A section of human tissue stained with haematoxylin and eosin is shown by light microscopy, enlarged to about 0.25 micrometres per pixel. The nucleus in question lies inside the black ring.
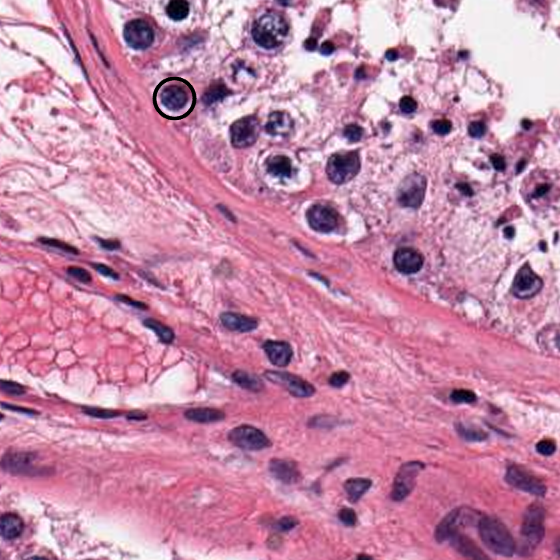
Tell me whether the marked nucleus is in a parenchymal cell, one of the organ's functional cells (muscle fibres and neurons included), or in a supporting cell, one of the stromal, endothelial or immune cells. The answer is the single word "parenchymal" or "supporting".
parenchymal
